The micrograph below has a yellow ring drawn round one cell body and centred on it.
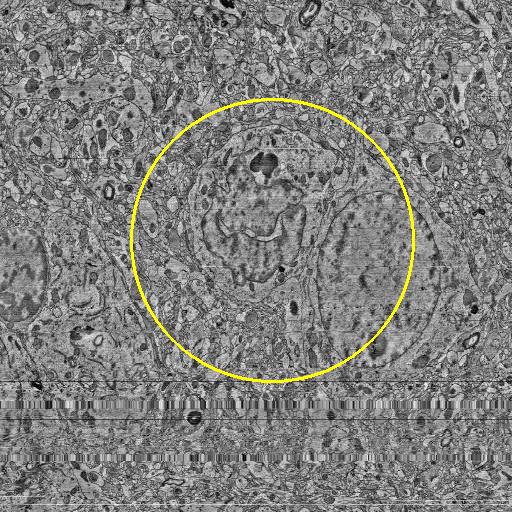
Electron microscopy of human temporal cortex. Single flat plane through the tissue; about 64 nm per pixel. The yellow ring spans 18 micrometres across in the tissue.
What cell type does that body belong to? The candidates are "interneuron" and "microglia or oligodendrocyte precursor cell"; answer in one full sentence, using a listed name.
This is an interneuron, the cell whose body lies at the centre of the ring.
